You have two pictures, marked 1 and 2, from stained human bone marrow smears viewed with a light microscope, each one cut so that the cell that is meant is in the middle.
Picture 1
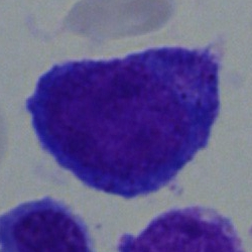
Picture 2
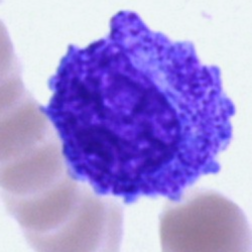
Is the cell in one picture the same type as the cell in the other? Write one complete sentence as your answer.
Yes; the cells in both pictures are promyelocytes.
